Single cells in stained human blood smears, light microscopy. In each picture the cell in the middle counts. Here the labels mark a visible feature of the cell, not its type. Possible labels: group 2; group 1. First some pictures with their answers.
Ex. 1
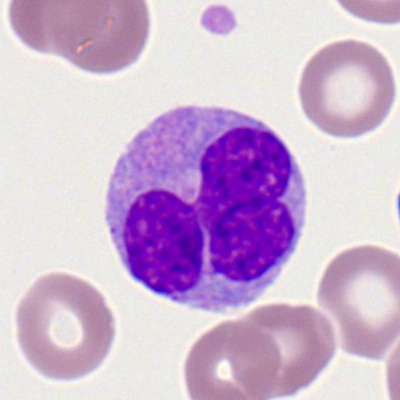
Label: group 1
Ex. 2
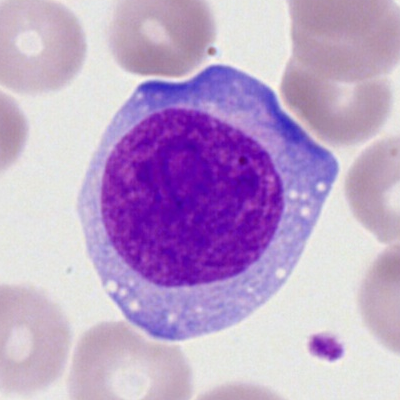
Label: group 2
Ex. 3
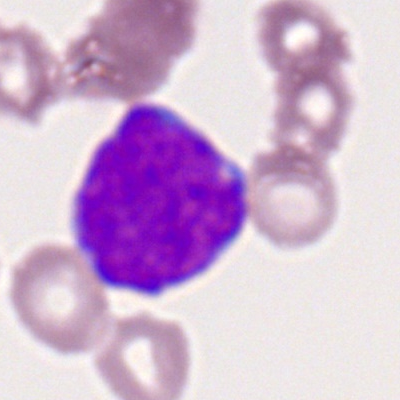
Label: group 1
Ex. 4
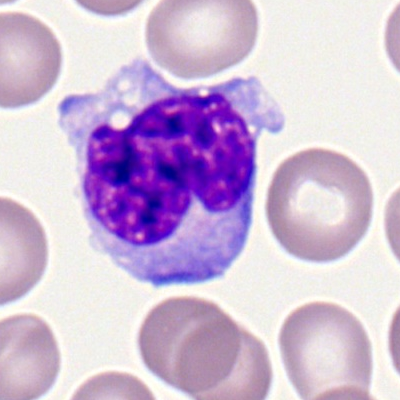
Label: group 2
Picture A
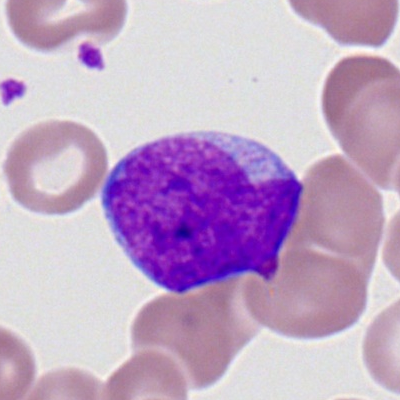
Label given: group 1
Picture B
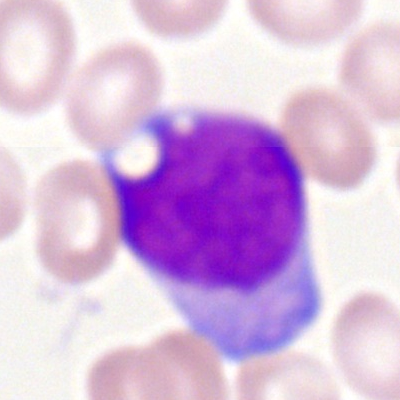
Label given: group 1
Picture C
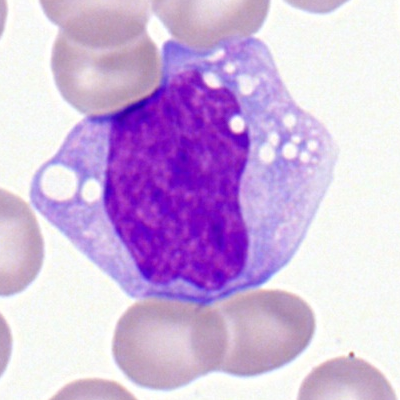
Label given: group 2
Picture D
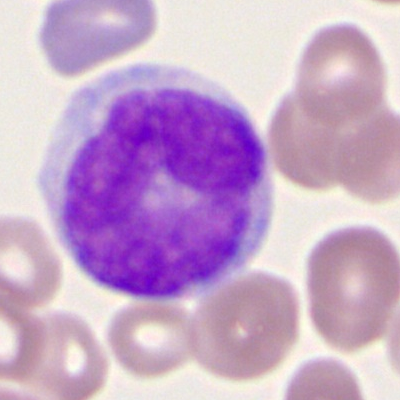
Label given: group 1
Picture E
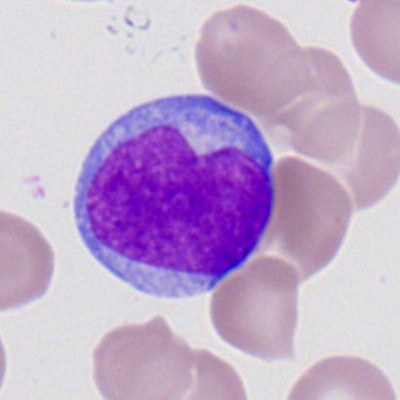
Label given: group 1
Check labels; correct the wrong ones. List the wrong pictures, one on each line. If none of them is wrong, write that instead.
B: not group 1 but group 2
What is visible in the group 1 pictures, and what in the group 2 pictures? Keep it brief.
group 1: no vacuoles; group 2: vacuoles present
